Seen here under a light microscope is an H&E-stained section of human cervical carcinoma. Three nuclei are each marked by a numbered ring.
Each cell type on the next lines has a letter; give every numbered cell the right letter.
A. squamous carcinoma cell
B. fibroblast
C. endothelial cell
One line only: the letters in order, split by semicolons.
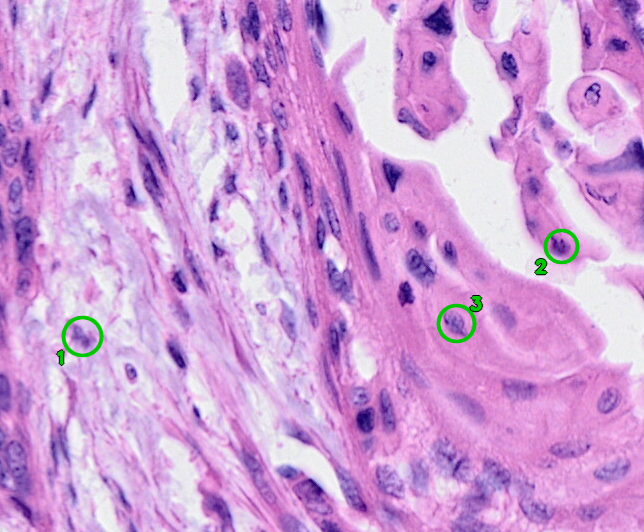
B; A; A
